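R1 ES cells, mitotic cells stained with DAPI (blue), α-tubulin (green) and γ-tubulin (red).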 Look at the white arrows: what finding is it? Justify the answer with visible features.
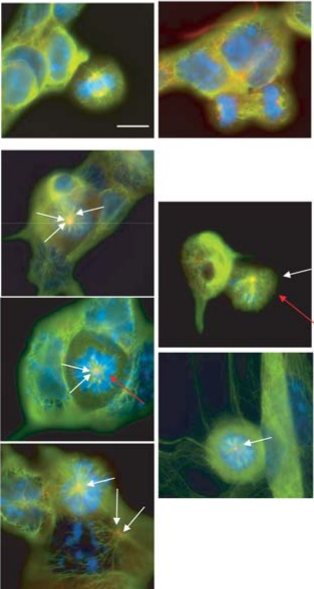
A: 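White arrows point to small yellow-orange dots within rounded mitotic cells. Some cells have a single such focus with blue chromosomes arranged around it. Some cells have more than two such foci.
Answer: monopolar or multipolar centrosomes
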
